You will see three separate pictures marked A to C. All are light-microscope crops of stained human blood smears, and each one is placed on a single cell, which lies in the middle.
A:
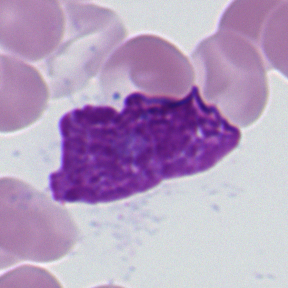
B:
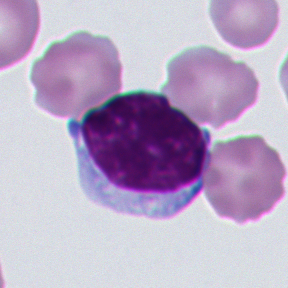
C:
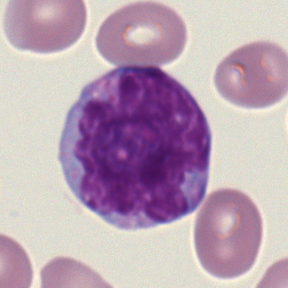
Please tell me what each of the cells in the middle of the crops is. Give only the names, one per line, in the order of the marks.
smudge cell
typical lymphocyte
atypical promyelocyte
